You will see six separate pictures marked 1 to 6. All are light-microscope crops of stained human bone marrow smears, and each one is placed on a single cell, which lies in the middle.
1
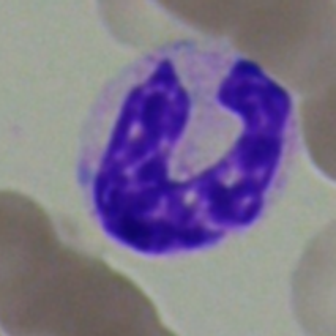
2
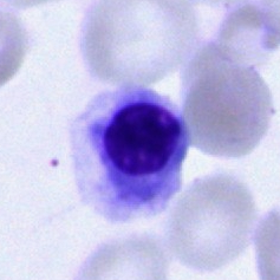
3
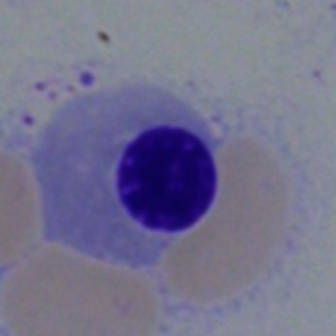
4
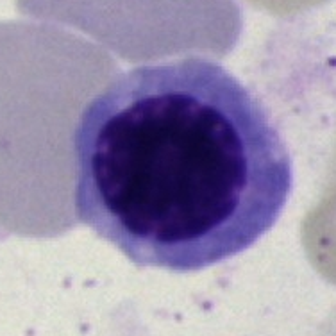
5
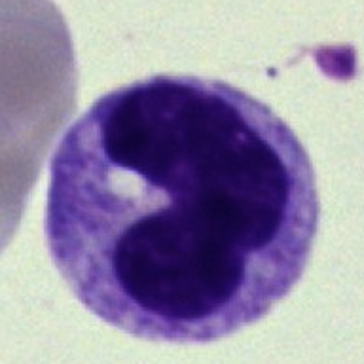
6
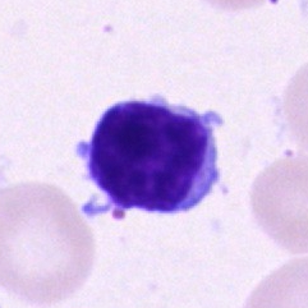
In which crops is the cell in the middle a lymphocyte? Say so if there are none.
6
